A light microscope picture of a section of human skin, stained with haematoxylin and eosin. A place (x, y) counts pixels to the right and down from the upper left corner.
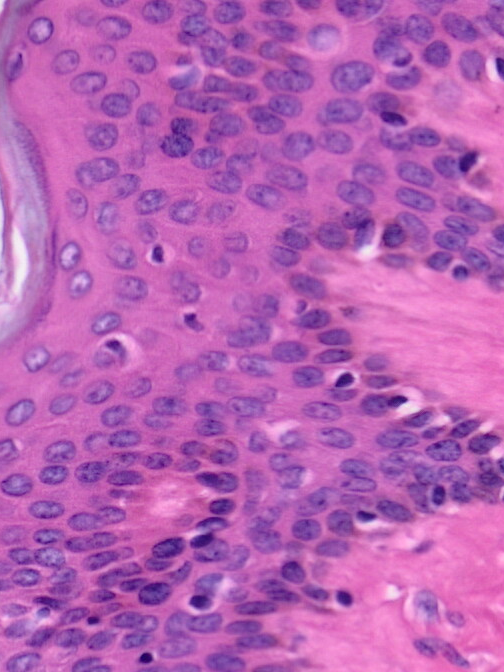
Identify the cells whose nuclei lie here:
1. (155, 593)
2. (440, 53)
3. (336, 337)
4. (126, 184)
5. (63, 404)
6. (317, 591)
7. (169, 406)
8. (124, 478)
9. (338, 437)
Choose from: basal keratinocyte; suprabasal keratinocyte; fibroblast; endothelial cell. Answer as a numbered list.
1. basal keratinocyte
2. basal keratinocyte
3. basal keratinocyte
4. suprabasal keratinocyte
5. suprabasal keratinocyte
6. basal keratinocyte
7. suprabasal keratinocyte
8. basal keratinocyte
9. suprabasal keratinocyte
